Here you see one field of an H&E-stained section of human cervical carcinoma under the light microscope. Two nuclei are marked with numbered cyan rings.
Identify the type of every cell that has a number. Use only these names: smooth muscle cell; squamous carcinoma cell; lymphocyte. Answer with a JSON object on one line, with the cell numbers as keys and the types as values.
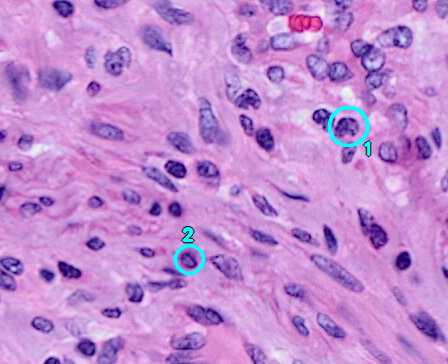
{"1": "lymphocyte", "2": "smooth muscle cell"}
